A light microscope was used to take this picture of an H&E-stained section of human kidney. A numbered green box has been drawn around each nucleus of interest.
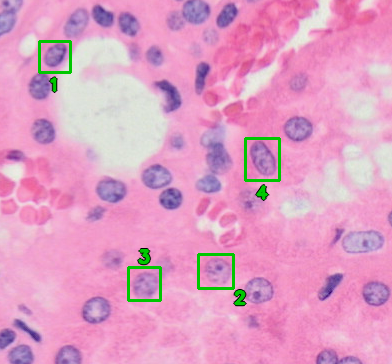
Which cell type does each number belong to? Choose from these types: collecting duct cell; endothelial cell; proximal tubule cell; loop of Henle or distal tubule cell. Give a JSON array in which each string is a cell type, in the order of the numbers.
["collecting duct cell", "proximal tubule cell", "proximal tubule cell", "proximal tubule cell"]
